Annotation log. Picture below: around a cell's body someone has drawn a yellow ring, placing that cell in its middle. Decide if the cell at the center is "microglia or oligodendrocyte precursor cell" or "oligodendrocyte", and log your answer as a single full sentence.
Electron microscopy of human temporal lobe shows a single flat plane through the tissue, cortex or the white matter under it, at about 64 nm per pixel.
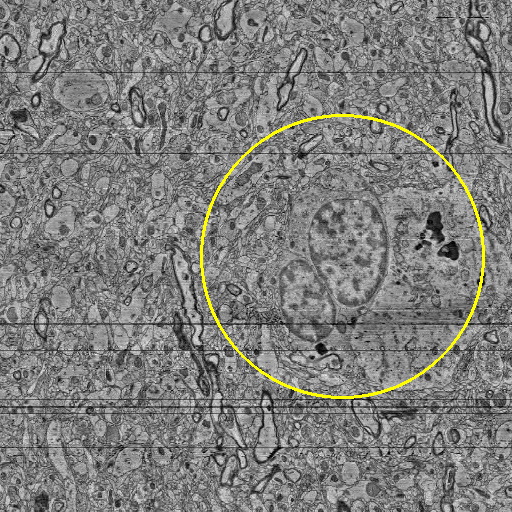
My entry records an oligodendrocyte as the cell sitting at the center of the yellow ring.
